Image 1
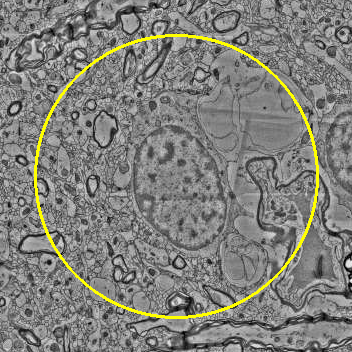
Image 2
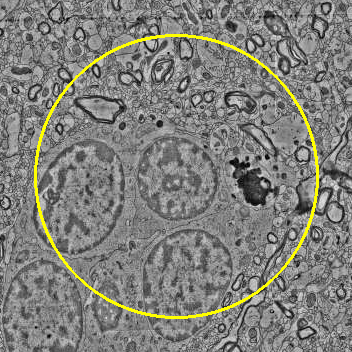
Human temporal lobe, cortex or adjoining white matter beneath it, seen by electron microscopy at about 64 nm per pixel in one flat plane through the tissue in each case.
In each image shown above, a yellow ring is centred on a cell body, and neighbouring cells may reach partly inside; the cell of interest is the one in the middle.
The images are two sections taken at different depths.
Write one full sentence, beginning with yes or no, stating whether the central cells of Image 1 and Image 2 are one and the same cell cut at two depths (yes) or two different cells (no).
No, the two rings in this image mark separate cells.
